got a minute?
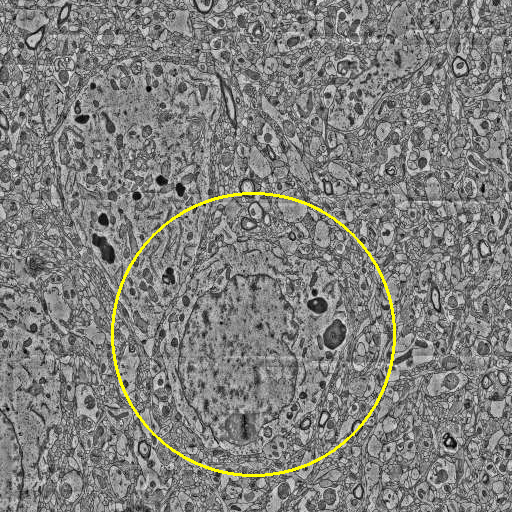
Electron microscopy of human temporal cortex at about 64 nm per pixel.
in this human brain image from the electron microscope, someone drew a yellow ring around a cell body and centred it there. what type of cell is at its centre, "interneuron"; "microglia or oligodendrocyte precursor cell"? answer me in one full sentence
It's an interneuron at the middle of that yellow ring in the shot.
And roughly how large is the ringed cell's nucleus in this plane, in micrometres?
The nucleus of the ringed cell is approximately 11 by 8 micrometres in this plane.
